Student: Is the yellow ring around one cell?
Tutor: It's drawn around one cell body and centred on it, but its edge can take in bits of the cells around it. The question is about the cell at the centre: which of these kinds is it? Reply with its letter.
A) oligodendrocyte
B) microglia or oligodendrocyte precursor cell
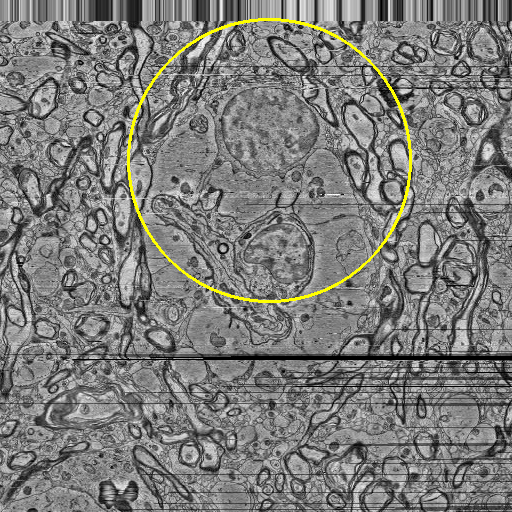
A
